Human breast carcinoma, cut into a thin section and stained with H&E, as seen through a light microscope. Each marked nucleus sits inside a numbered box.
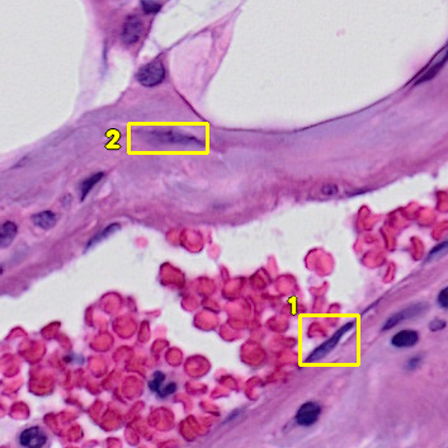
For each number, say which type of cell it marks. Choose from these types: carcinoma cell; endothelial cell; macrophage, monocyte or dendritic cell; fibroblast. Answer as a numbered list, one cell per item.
1. endothelial cell
2. fibroblast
